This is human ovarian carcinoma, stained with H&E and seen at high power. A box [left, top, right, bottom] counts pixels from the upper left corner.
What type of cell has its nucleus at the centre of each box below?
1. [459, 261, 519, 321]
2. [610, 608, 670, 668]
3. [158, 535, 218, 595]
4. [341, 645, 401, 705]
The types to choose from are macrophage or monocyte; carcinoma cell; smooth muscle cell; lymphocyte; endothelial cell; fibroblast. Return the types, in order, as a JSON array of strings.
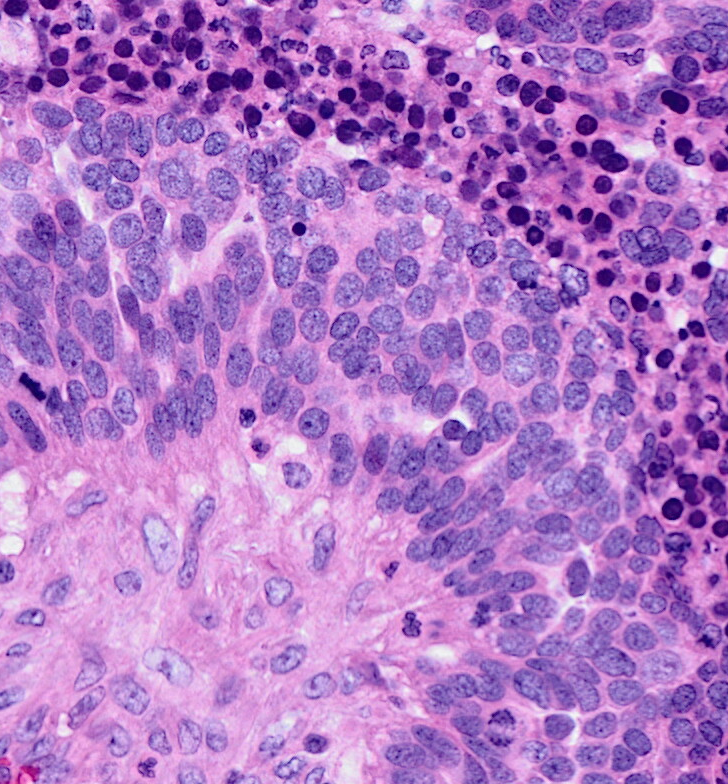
["carcinoma cell", "carcinoma cell", "fibroblast", "fibroblast"]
